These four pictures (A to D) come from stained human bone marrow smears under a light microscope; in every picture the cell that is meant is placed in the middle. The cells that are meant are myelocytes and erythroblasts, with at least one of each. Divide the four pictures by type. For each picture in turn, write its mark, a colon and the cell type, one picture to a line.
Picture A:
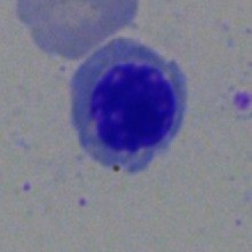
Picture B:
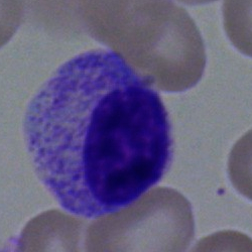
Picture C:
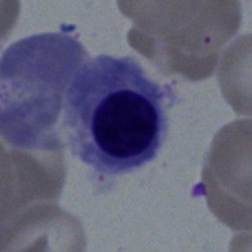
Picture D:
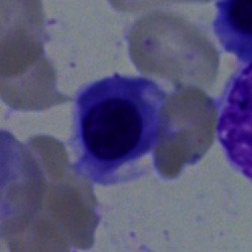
A: erythroblast
B: myelocyte
C: erythroblast
D: erythroblast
